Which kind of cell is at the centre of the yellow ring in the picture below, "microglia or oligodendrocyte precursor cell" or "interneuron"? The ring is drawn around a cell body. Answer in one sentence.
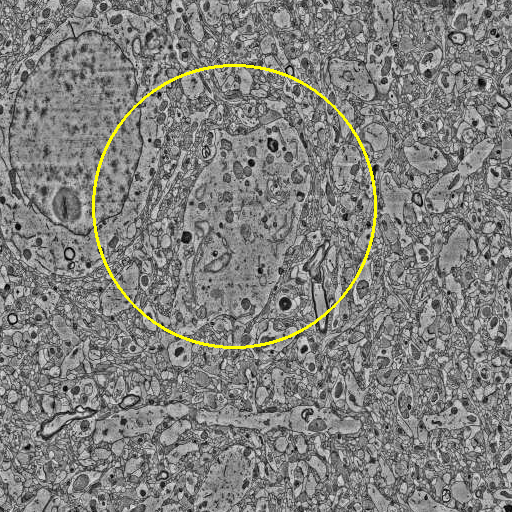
The ring's central cell is an interneuron.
